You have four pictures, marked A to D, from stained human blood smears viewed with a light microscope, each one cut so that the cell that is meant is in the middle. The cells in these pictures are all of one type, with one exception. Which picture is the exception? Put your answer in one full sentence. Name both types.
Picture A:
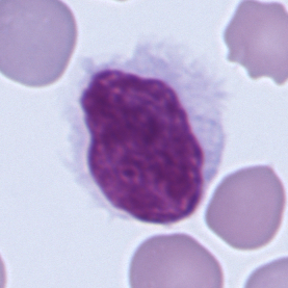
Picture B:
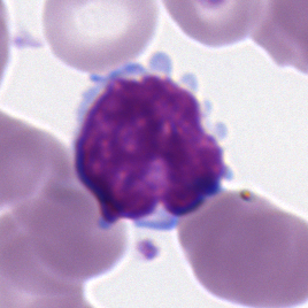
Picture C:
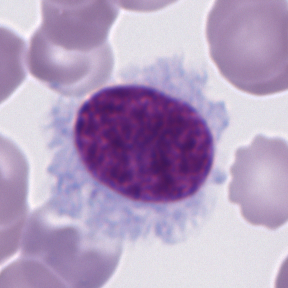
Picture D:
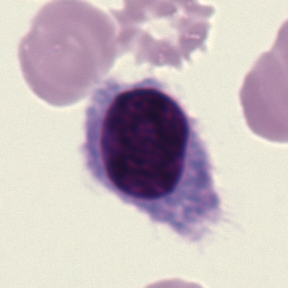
Picture B differs, because its cell is a typical lymphocyte and the rest are hairy cells.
